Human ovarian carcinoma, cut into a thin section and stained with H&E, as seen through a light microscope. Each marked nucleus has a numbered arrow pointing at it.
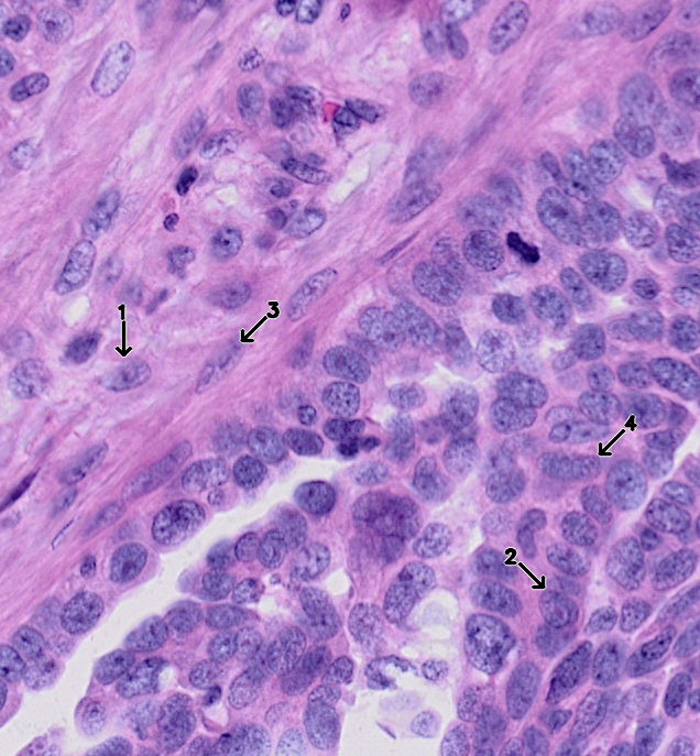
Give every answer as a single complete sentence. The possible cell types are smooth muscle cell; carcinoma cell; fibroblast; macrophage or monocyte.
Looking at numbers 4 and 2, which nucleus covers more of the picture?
It is nucleus 2, which covers about 1.5 times the area of nucleus 4.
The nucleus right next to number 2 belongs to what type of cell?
The nearest nucleus to number 2 belongs to a carcinoma cell.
